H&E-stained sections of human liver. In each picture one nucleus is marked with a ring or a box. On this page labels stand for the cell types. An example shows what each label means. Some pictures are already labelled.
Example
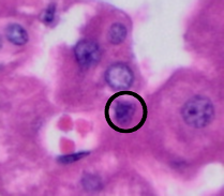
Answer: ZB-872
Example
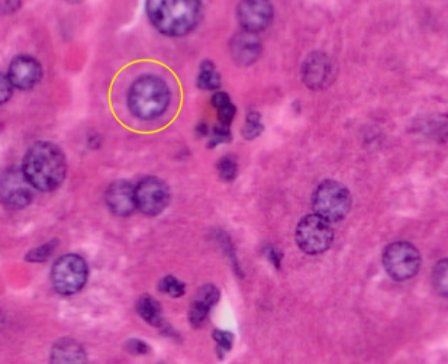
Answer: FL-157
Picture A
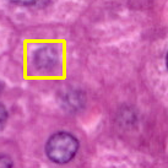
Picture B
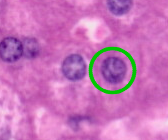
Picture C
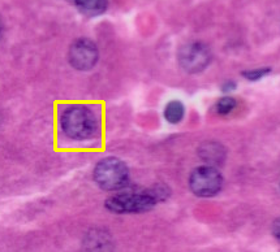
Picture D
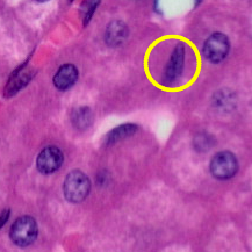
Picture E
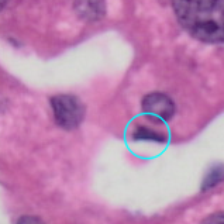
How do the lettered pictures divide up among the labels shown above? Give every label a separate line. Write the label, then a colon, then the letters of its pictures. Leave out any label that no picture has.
ZB-872: D, E
FL-157: A, B, C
